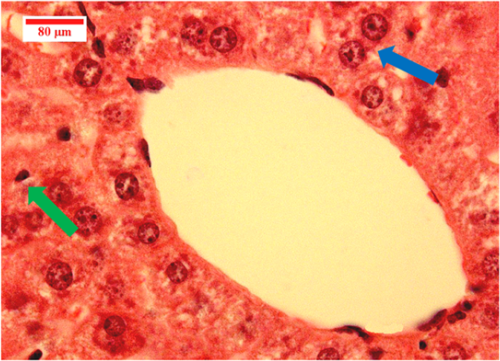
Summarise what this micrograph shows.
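Liver tissue with hepatocytes arranged around a large, empty central vessel. The vessel is lined by thin, flattened cells with small, dark, elongated nuclei. A few small, dark, elongated nuclei also lie between the hepatocytes along these spaces. The overall architecture looks regular and orderly.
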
